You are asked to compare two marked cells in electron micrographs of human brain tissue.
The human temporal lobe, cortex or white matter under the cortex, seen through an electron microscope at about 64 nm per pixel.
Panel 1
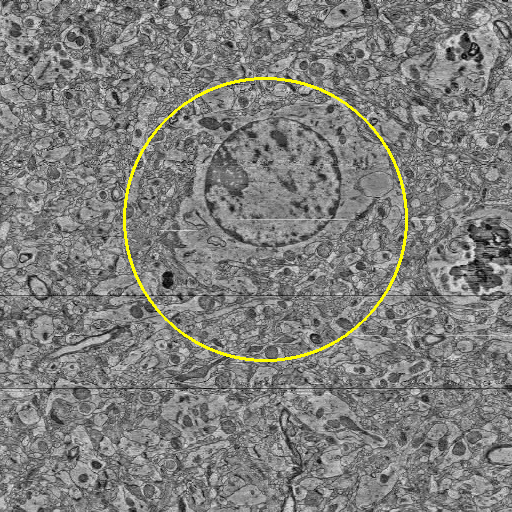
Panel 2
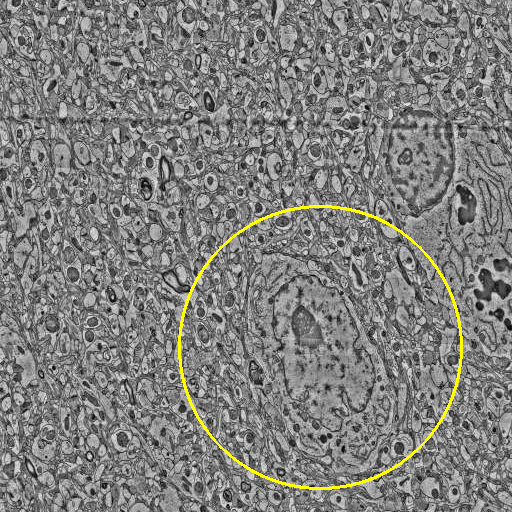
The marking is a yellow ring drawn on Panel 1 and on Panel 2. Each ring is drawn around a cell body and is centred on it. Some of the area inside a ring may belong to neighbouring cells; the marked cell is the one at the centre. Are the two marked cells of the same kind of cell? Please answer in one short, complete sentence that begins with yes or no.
No, the two marked cells are of two kinds.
